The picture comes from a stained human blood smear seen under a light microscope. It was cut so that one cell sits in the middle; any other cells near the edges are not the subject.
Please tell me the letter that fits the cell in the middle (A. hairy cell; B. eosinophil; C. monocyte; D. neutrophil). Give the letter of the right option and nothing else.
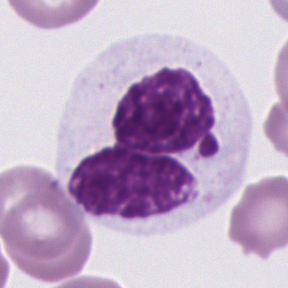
D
